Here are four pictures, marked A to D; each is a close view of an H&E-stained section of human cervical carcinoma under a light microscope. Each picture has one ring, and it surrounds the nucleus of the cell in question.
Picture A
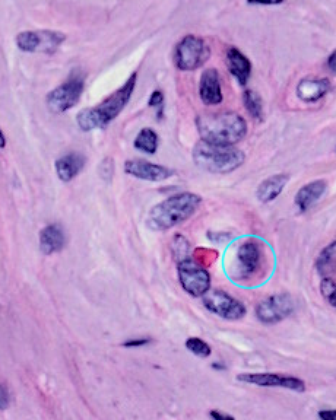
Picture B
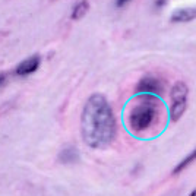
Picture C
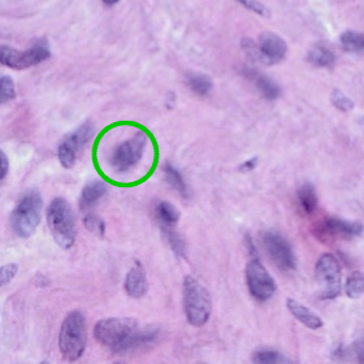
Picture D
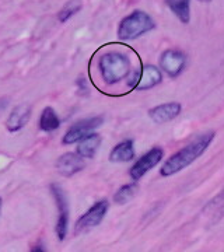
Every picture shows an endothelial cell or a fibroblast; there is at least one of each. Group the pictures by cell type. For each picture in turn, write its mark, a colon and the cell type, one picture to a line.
A: endothelial cell
B: endothelial cell
C: fibroblast
D: endothelial cell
